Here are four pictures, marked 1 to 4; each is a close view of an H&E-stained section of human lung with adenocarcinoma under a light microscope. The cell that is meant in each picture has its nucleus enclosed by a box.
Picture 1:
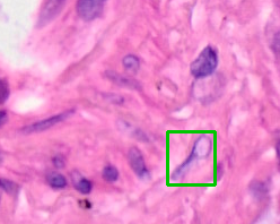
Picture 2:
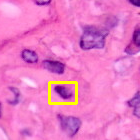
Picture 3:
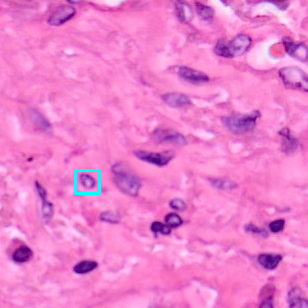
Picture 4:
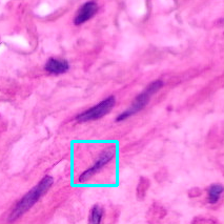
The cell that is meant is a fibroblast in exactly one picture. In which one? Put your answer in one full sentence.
The fibroblast is the one in picture 1.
